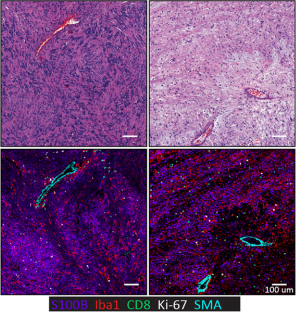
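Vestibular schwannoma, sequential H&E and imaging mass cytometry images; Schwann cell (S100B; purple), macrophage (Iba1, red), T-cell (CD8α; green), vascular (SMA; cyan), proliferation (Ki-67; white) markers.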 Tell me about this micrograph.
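In the left region, the tumour tissue is cellular and tightly packed, with many purple nuclei lying in streaming, fascicle-like bundles. In the right region, the tissue is paler and looser, with fewer nuclei spread through a pale pink background. Small blood vessels cut lengthwise show up as elongated red-pink channels.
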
